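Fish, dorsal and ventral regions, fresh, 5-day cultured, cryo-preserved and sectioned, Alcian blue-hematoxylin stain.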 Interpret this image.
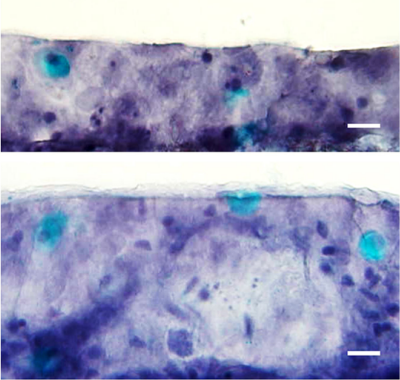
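Multilayered skin epithelium with goblet cells distributed among epithelial cells. Purple-stained nuclei of varied shapes fill the layer, bounded above by a thin flat surface layer. Rounded goblet cells with turquoise-blue mucus lie both deep in the epithelium and at its outer surface.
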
